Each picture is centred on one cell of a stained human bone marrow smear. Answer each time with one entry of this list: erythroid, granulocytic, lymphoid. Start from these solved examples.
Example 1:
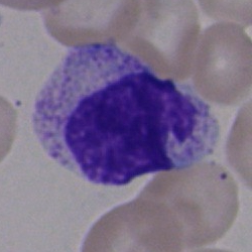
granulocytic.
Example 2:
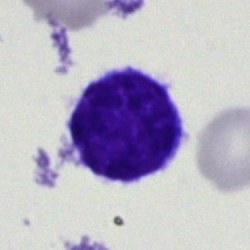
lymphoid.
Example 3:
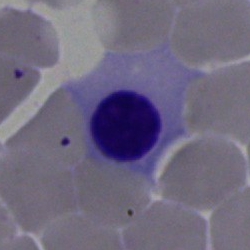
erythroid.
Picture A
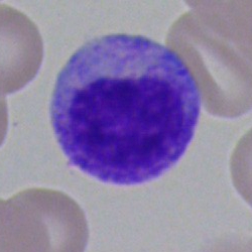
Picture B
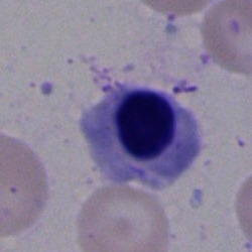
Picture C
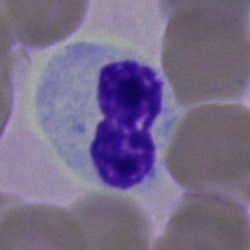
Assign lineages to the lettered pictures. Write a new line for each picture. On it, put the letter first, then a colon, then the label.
A: granulocytic.
B: erythroid.
C: granulocytic.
